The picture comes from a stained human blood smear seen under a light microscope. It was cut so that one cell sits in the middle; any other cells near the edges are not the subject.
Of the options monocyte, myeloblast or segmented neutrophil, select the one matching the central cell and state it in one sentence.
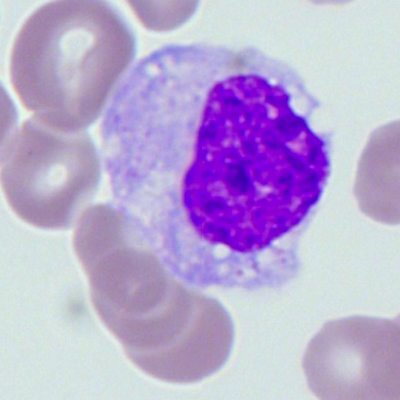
The cell of interest, in the center, is a monocyte.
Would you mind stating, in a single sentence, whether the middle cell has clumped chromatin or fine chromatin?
This nucleus has coarsely clumped chromatin.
